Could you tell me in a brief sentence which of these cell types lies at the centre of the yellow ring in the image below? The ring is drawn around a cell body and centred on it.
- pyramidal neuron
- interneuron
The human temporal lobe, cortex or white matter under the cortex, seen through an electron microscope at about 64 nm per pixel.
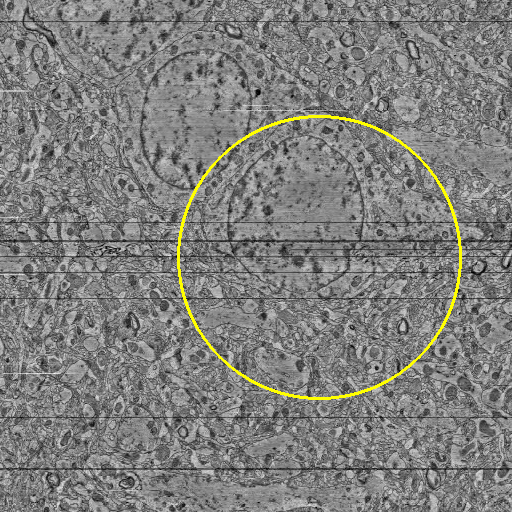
The cell centred in the ring is a pyramidal neuron.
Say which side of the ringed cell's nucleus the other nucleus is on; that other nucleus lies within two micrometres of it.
The other nucleus lies to the upper left of it.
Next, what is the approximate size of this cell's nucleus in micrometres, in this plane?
Approximately 10 micrometres long and 9 micrometres wide, in this plane.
